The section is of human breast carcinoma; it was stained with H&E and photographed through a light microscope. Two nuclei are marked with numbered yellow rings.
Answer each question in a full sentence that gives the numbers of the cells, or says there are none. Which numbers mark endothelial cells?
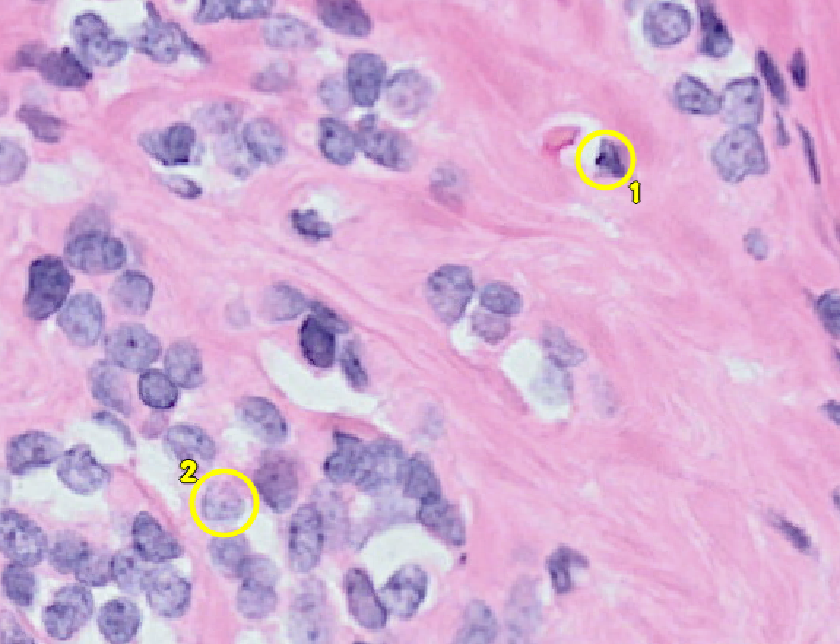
Only cell 1 is an endothelial cell; none of the other numbered cells is.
